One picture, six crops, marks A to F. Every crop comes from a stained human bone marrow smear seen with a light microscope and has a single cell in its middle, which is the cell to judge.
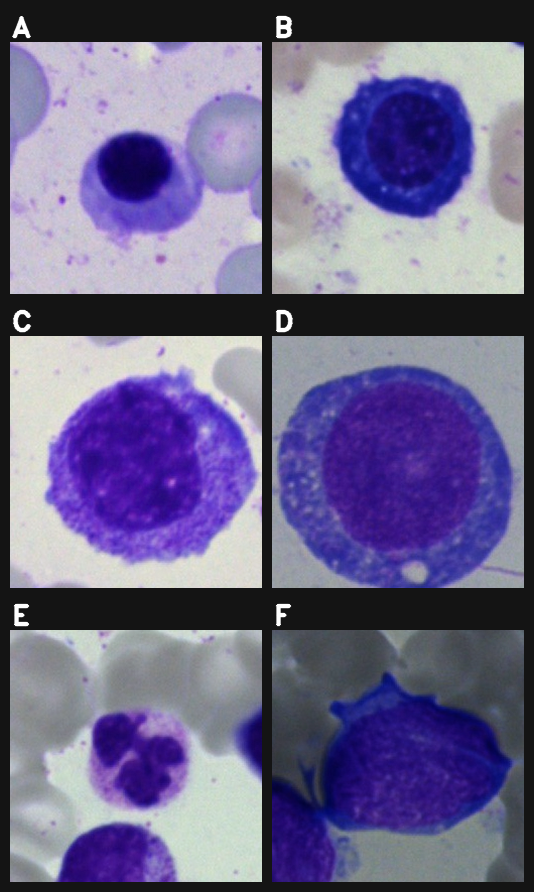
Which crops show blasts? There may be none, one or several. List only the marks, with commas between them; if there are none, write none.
D, F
